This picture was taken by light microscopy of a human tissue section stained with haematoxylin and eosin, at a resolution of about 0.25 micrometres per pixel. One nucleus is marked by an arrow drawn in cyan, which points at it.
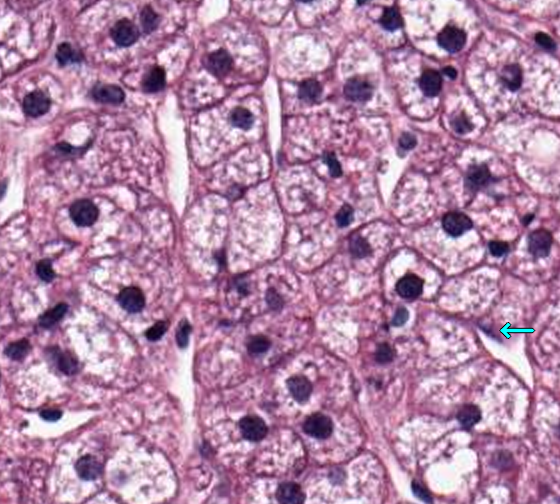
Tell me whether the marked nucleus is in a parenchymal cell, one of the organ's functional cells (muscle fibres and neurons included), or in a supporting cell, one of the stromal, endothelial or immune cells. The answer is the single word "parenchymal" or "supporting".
supporting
